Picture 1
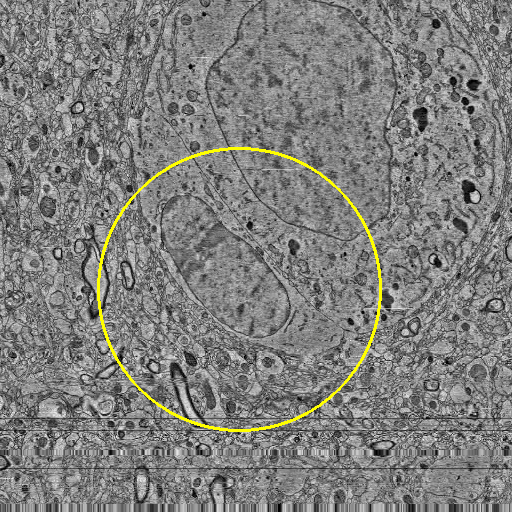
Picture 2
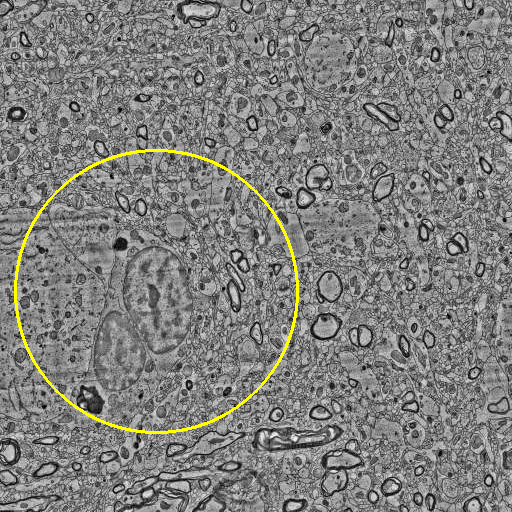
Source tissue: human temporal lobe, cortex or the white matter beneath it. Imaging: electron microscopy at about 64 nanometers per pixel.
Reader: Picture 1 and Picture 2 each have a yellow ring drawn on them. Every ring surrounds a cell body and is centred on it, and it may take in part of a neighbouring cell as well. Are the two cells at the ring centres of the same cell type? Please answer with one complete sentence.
No, the cells are of two cell types.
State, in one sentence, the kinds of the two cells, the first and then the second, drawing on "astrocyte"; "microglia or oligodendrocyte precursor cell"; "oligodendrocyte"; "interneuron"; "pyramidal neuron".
The ring in the second picture is centred on an oligodendrocyte, the ring in the first on a microglial cell or oligodendrocyte precursor cell.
